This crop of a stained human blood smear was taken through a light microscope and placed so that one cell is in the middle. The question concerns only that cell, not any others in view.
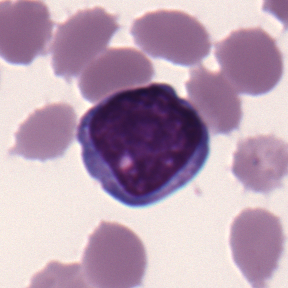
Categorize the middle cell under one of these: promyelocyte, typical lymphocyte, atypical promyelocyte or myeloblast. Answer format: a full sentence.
The crop's centre is taken up by a typical lymphocyte.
